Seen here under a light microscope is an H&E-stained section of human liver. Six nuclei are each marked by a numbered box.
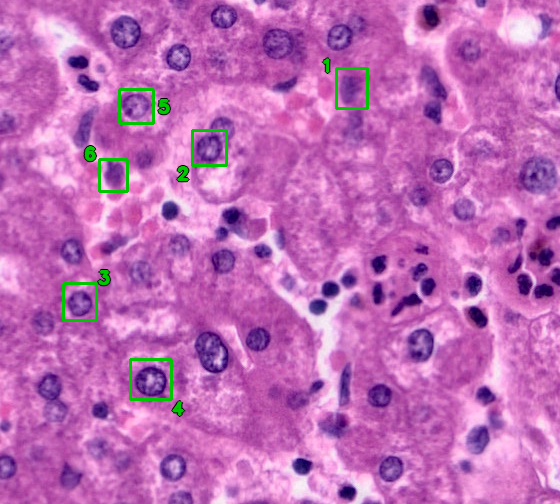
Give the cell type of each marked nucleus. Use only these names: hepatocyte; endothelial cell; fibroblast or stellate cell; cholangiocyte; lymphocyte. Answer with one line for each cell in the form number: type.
1: endothelial cell
2: hepatocyte
3: hepatocyte
4: hepatocyte
5: hepatocyte
6: endothelial cell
